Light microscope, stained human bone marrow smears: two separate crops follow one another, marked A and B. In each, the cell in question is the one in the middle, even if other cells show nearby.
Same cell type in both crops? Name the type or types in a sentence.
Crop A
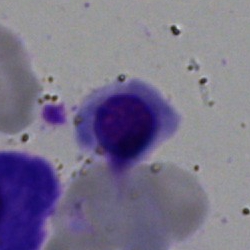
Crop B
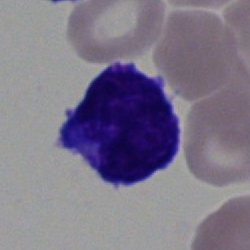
No, look again: crop A shows an erythroblast, and crop B shows a blast.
